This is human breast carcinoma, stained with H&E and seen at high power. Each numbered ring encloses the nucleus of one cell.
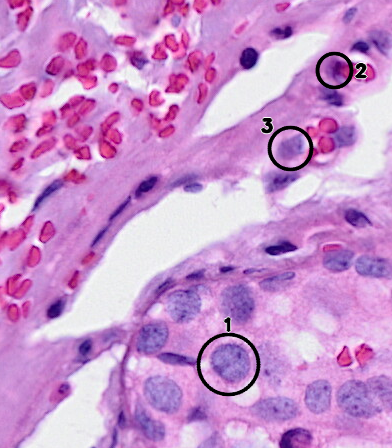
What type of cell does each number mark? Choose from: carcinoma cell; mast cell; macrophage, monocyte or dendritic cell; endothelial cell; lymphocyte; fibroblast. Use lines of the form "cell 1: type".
cell 1: carcinoma cell
cell 2: endothelial cell
cell 3: endothelial cell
